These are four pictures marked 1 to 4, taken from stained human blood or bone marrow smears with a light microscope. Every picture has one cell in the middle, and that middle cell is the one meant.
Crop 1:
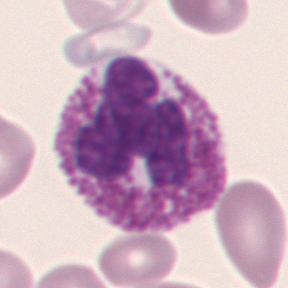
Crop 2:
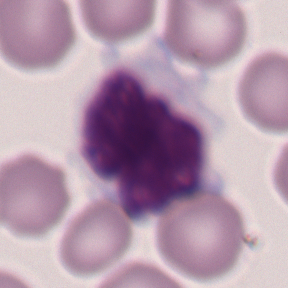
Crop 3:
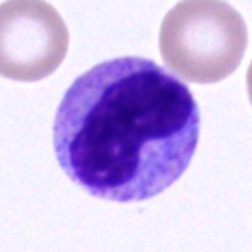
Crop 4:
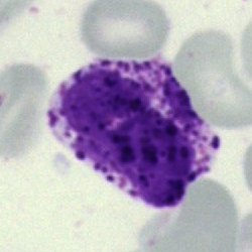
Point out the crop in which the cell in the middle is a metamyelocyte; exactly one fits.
3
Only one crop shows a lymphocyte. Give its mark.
2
